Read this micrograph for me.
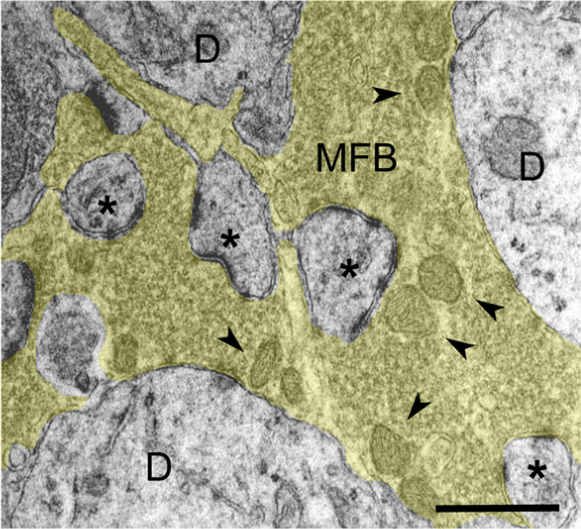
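A broad yellow-shaded presynaptic terminal stretches across the field, filled with densely packed small vesicles and containing several oval mitochondria with inner cristae. Rounded profiles sit embedded in the terminal, their borders lined by dark membrane thickenings where synapses form; these are large complex spines. Large pale dendritic profiles border the terminal above, at the lower left and at the right.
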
